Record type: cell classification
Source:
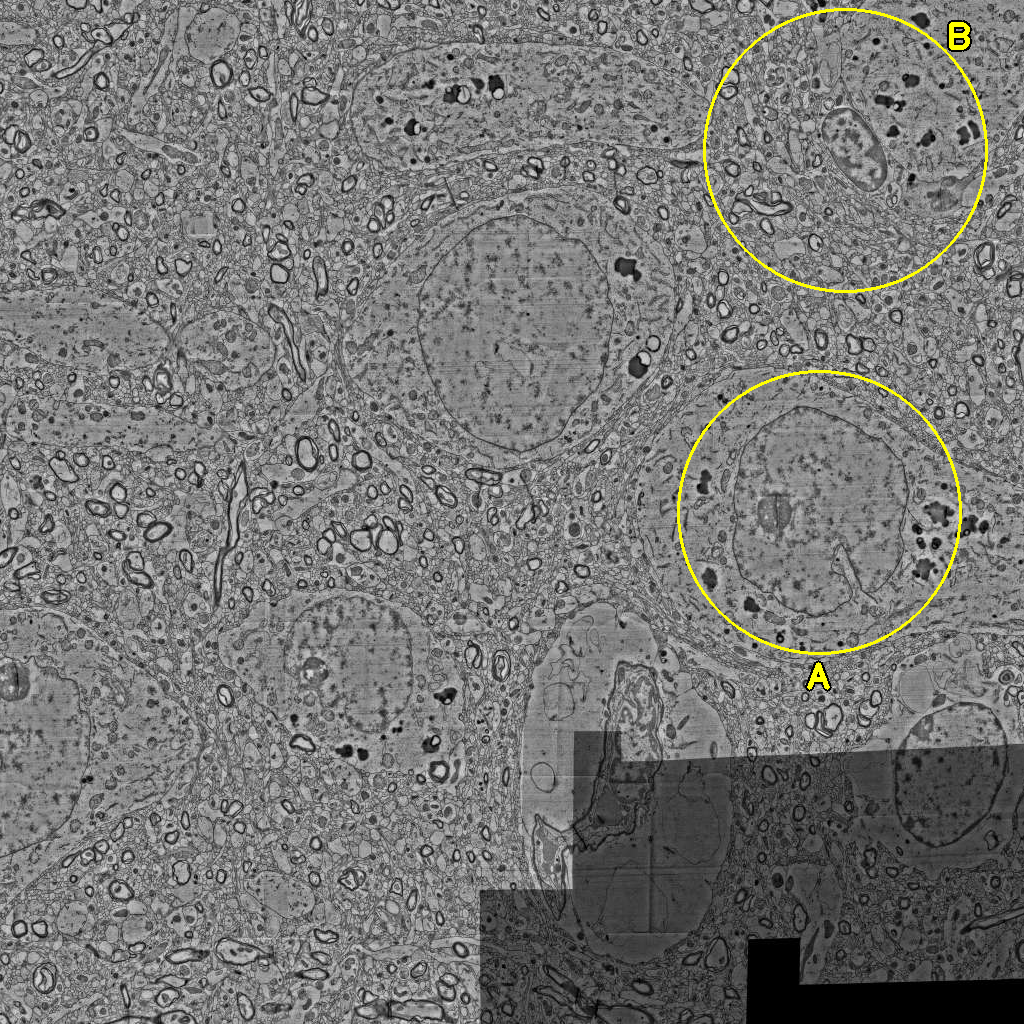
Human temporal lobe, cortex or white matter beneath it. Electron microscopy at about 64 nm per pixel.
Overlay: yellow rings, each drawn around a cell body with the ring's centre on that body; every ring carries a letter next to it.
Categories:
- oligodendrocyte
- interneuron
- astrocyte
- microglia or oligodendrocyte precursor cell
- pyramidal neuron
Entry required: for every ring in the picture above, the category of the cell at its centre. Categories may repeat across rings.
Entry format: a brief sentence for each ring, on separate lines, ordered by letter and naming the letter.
At the centre of ring A lies a pyramidal neuron.
At the centre of ring B lies a microglial cell or oligodendrocyte precursor cell.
